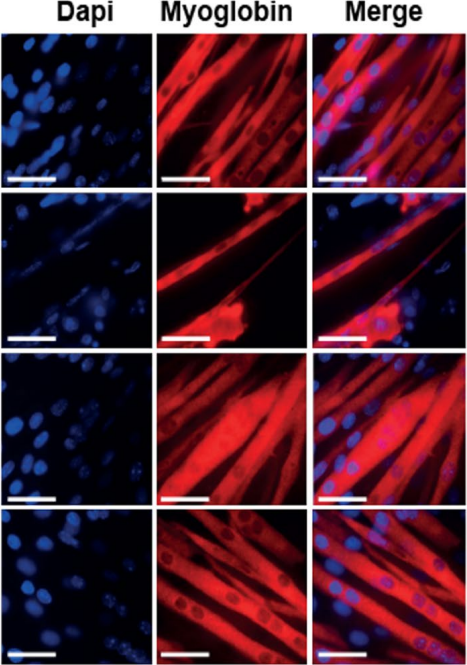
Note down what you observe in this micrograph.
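These fluorescence images show cultured myotubes, long tube-shaped muscle fibres whose cytoplasm is filled evenly with red. Blue oval nuclei lie in rows inside the fibres, and further blue nuclei belong to small unfused cells lying between them. In most rows the fibres are broad, closely packed and run roughly parallel across the frame. In one row the red fibres are fewer and much narrower, with bunched, irregular red masses at some ends and wide dark gaps between them.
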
